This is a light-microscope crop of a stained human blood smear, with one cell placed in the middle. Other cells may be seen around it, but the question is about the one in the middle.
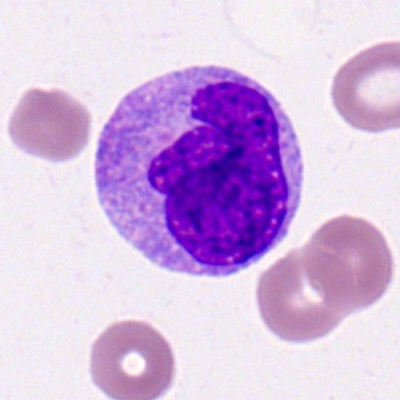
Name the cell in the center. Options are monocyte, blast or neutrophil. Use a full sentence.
The cell in the exact centre of the crop is a monocyte.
